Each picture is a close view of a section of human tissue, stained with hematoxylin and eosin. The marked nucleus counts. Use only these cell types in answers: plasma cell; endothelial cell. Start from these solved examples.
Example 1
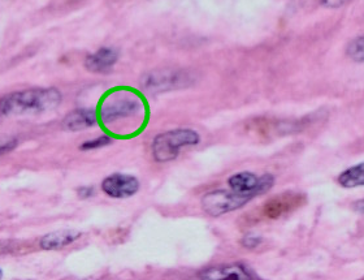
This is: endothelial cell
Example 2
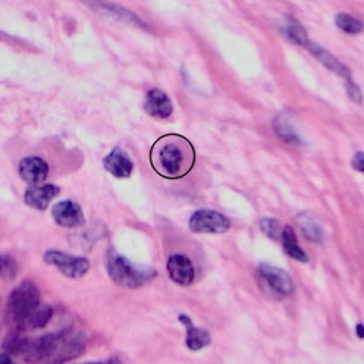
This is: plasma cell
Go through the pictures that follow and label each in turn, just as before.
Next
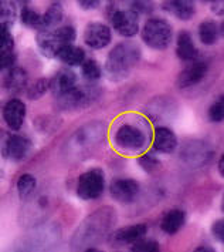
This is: endothelial cell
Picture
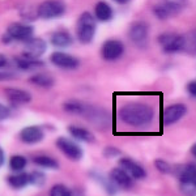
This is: endothelial cell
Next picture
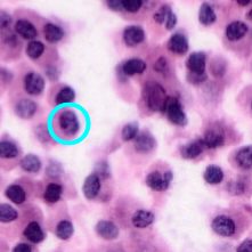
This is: plasma cell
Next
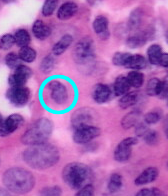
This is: endothelial cell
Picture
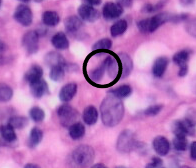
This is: endothelial cell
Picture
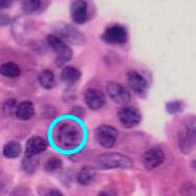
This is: plasma cell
